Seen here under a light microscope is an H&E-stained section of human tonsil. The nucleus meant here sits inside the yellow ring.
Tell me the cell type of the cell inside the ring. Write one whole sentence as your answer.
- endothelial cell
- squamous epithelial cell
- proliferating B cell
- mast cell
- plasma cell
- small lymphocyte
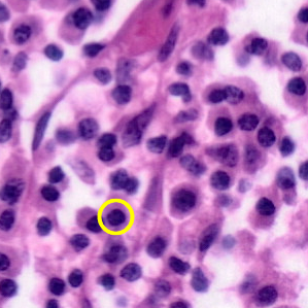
The category to which the cell inside the ring belongs is that of a plasma cell.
